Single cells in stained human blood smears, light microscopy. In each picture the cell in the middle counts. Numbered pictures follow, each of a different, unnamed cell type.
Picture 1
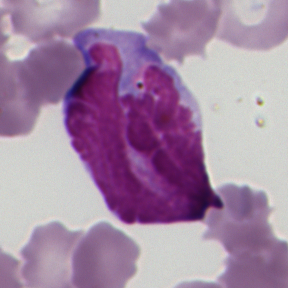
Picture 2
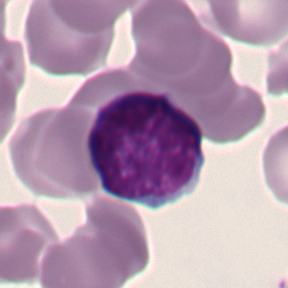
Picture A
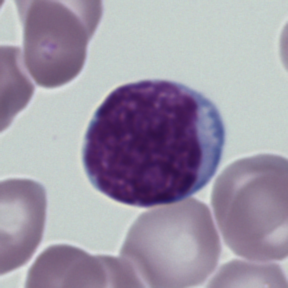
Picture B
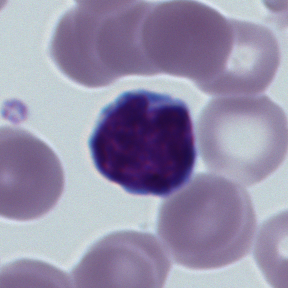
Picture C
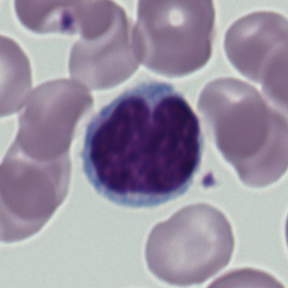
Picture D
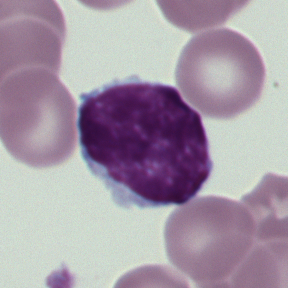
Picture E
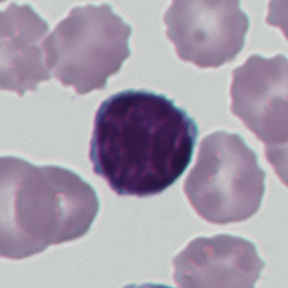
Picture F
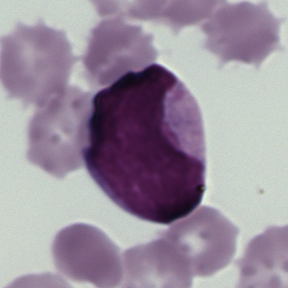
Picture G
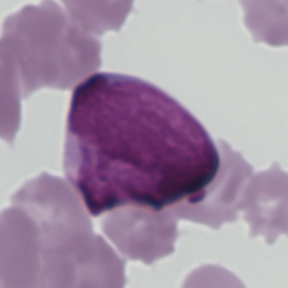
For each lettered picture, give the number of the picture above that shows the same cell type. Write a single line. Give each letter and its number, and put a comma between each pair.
A 1, B 2, C 2, D 2, E 2, F 1, G 1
